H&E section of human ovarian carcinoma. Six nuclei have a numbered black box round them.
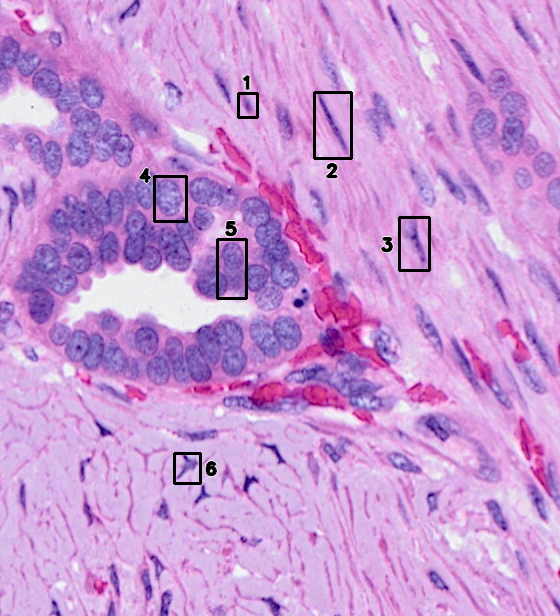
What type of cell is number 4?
carcinoma cell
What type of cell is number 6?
fibroblast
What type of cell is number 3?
fibroblast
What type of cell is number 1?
fibroblast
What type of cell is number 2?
fibroblast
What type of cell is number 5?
carcinoma cell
